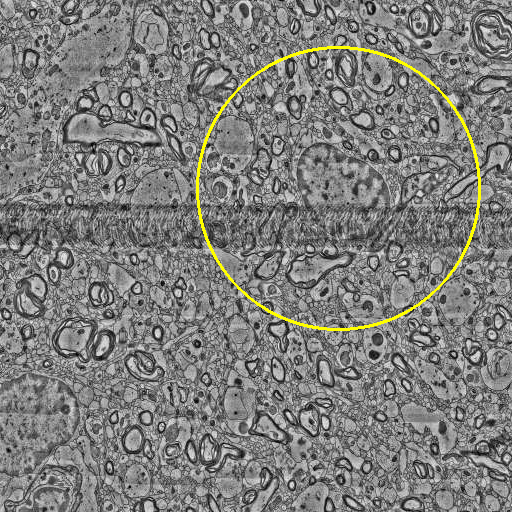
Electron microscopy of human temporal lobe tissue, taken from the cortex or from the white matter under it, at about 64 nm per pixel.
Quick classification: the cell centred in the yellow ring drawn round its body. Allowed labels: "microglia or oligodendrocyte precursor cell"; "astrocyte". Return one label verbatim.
microglia or oligodendrocyte precursor cell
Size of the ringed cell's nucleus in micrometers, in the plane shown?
The nucleus appears roughly 7 by 5 micrometres in this plane.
